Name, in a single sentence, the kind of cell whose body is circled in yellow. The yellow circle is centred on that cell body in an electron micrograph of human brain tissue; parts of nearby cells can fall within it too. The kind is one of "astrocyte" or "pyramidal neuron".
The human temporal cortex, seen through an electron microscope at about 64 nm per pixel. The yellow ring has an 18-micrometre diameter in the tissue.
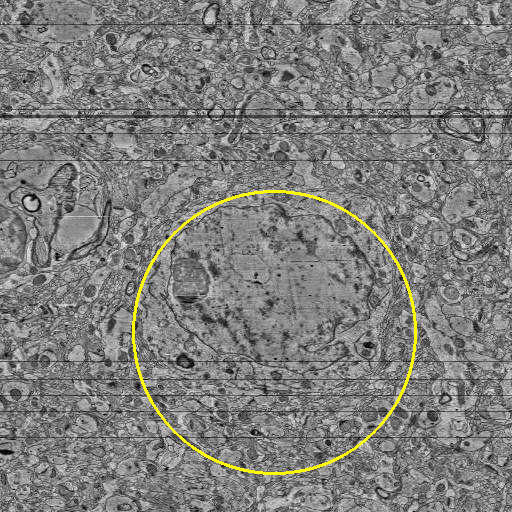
The circled cell body belongs to a pyramidal neuron.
